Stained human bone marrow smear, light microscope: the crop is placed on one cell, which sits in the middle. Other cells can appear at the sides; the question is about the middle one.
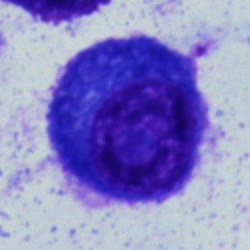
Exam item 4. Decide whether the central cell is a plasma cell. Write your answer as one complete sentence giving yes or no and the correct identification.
Yes, placed in the middle of the crop is a plasma cell.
